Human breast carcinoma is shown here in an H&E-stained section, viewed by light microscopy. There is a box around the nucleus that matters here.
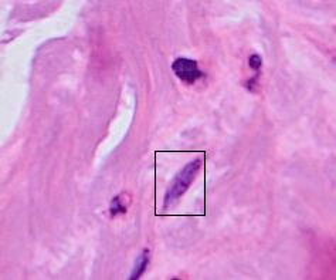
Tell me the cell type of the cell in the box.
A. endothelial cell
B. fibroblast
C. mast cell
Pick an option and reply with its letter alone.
B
